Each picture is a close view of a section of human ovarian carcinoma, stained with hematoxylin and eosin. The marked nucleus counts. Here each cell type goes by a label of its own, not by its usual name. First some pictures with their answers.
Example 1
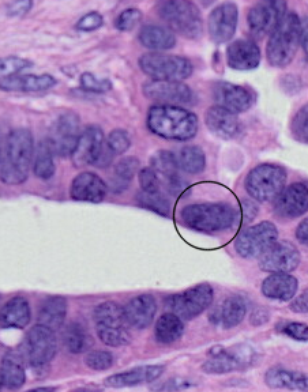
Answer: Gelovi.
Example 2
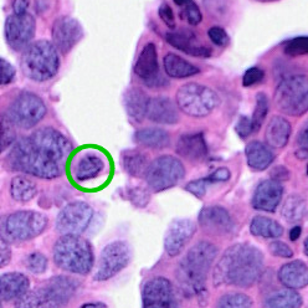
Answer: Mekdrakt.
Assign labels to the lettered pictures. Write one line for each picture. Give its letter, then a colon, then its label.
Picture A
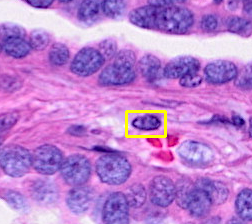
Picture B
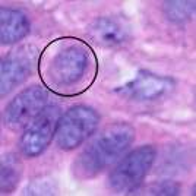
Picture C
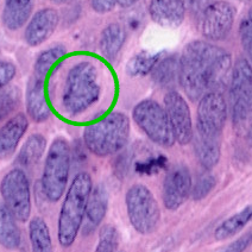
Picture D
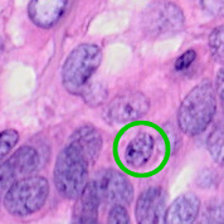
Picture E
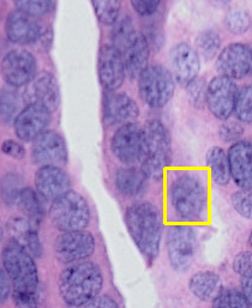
A: Mekdrakt.
B: Gelovi.
C: Gelovi.
D: Mekdrakt.
E: Gelovi.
